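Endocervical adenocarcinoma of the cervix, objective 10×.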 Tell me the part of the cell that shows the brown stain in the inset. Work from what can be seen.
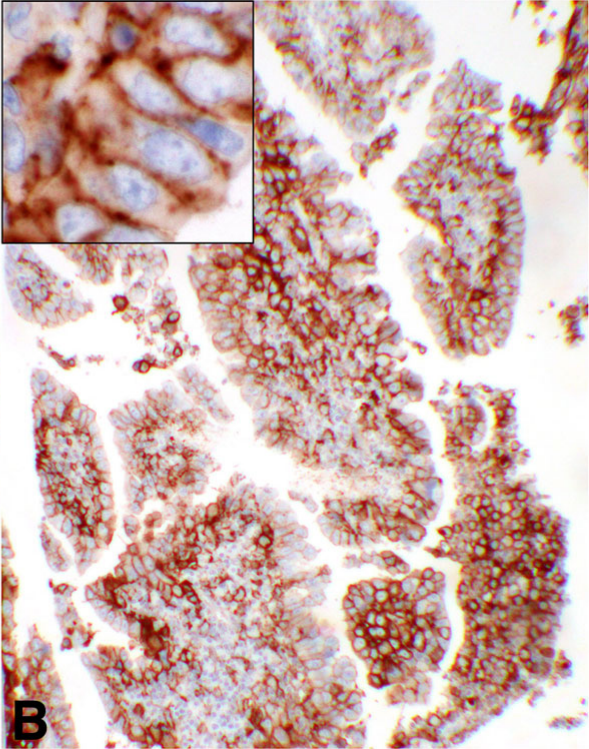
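Nuclei in the inset are blue and unstained. That points to this answer: membrane.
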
